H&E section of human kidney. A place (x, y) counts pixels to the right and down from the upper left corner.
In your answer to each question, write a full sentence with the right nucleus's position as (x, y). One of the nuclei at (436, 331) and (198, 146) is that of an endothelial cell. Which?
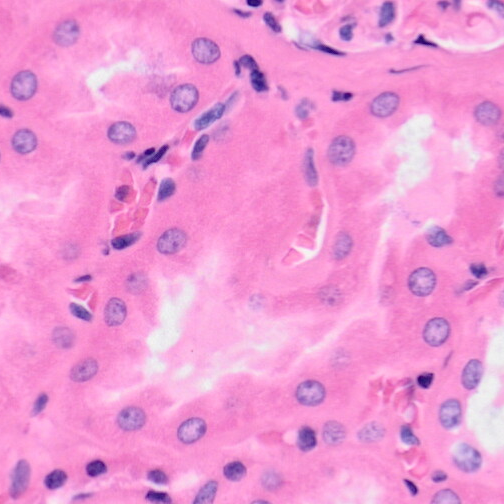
Among the two nuclei, the one found at (198, 146) belongs to an endothelial cell.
